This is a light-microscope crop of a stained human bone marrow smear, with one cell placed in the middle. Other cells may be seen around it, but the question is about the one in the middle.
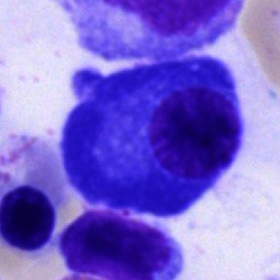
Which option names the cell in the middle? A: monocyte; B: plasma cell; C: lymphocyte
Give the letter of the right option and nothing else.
B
